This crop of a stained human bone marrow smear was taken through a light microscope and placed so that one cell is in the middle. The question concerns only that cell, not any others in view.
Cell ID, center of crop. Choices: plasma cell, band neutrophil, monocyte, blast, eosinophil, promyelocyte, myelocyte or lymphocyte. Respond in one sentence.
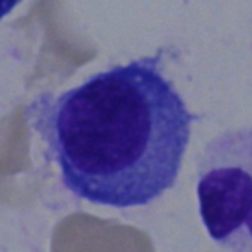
Within this crop, a plasma cell occupies the central position.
